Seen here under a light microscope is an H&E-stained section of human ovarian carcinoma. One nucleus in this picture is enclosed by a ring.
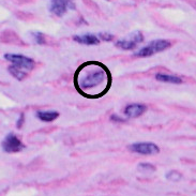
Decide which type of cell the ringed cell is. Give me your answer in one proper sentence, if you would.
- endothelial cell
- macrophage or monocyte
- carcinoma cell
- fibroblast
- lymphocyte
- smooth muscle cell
Within this tissue, the ringed cell is a fibroblast.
